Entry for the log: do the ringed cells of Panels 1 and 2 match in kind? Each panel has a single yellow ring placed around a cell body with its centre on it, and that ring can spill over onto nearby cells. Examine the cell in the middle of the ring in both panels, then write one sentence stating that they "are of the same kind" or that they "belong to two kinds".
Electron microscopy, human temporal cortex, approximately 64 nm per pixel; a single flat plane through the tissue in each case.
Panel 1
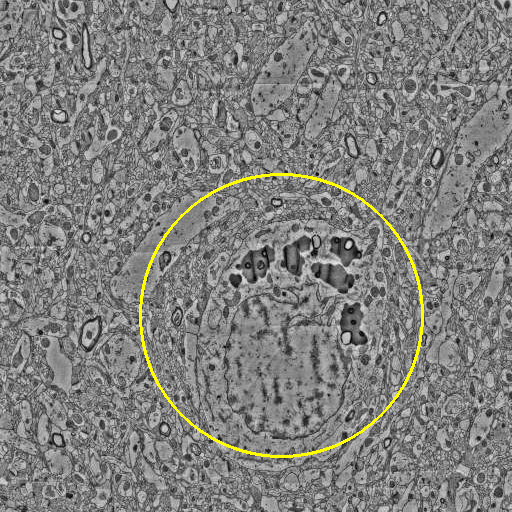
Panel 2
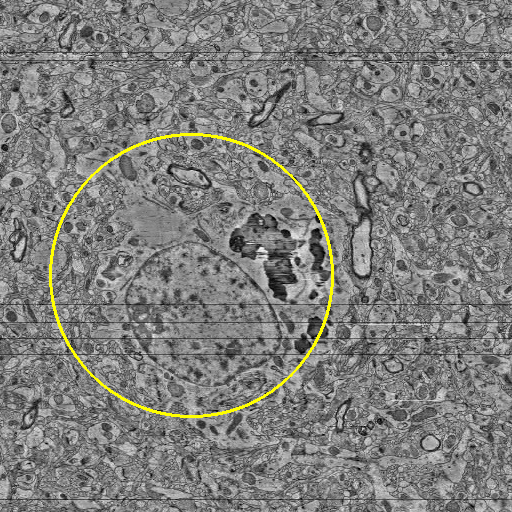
The centre cell of Panel 1's ring and that of Panel 2's ring belong to two kinds.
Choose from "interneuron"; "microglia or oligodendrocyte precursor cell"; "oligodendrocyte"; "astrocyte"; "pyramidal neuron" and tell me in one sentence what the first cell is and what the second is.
What the first ring is centred on is an interneuron; what the second ring is centred on is an astrocyte.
